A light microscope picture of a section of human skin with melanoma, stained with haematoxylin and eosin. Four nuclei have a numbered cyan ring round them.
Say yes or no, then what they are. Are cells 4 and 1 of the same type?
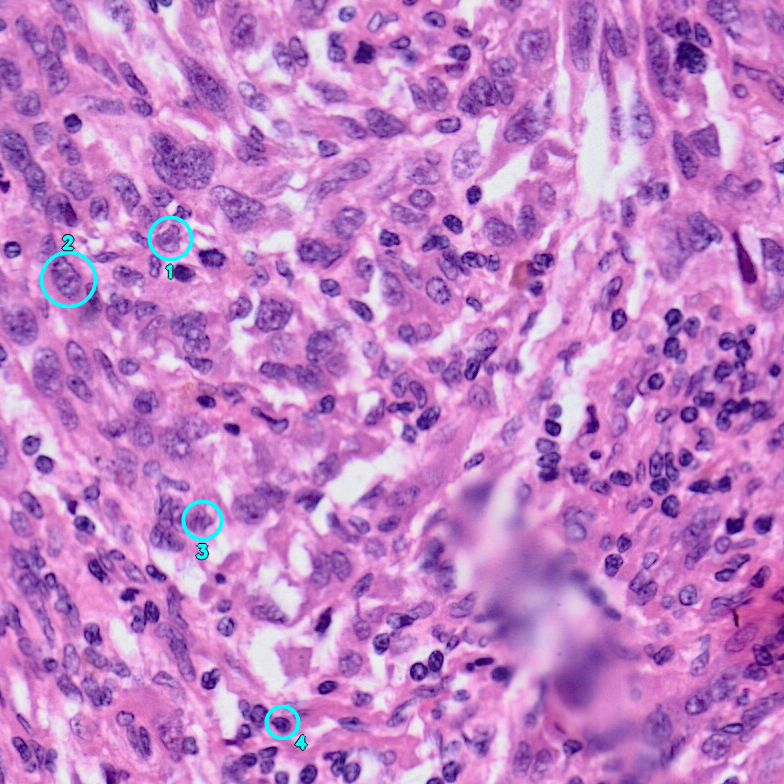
No, cell 4 is a lymphocyte whereas cell 1 is a melanoma cell.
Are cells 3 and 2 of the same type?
Yes, the cell labelled 3 and the cell labelled 2 are both melanoma cells.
